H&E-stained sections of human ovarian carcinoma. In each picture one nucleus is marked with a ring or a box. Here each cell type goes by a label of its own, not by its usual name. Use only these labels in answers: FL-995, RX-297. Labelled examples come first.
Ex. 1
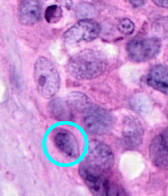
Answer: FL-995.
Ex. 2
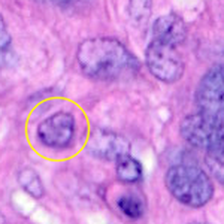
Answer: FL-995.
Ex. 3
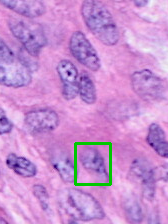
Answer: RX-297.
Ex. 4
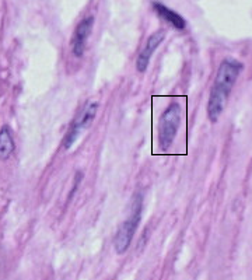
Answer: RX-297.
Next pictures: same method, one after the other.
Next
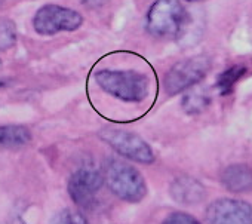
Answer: FL-995.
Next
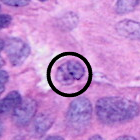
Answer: FL-995.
